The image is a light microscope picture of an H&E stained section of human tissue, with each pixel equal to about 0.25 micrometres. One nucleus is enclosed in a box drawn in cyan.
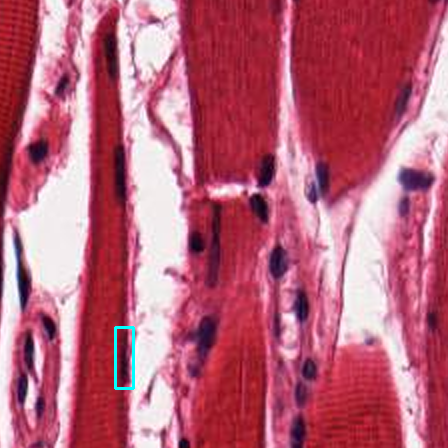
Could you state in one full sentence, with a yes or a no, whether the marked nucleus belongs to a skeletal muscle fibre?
Yes, the marked nucleus is part of a skeletal muscle fibre.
